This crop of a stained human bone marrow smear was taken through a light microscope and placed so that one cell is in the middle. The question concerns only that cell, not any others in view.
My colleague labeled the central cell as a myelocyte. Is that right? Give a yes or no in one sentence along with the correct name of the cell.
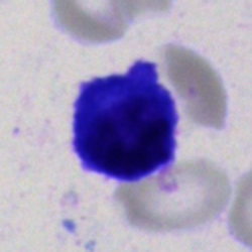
No, the label for the central cell is a plasma cell, not a myelocyte.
